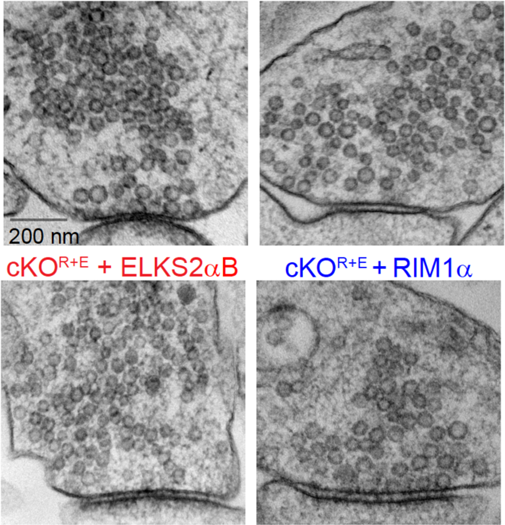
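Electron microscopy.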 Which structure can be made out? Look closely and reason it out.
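Profiles packed with many small round clear vesicles. An electron-dense thickened membrane apposition at the lower edge of each profile.
Answer: synapses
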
